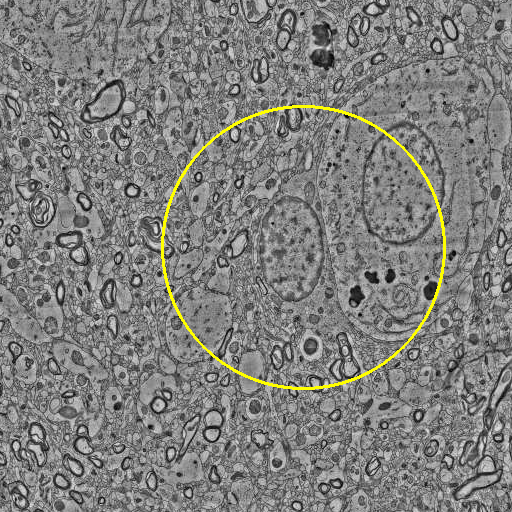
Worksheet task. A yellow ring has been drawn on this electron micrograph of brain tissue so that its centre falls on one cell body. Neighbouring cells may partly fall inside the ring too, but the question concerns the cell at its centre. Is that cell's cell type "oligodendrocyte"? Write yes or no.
yes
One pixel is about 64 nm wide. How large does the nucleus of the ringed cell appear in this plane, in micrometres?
The nucleus is approximately 7 micrometres long but only about 4 wide, clearly longer than it is wide in this plane.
